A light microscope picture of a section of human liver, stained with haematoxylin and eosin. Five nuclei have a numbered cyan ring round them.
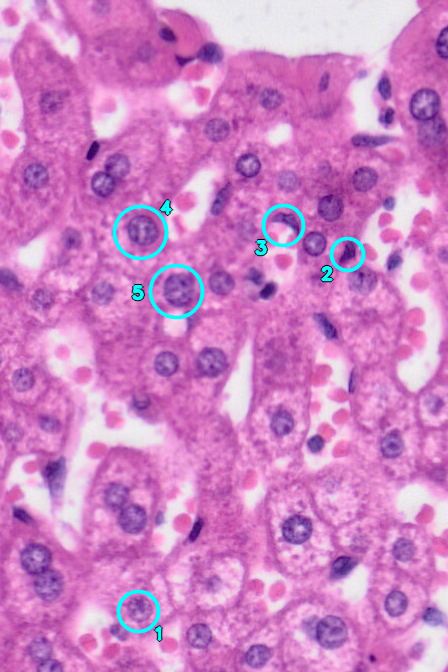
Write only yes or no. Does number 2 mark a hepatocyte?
no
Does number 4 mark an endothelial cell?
no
